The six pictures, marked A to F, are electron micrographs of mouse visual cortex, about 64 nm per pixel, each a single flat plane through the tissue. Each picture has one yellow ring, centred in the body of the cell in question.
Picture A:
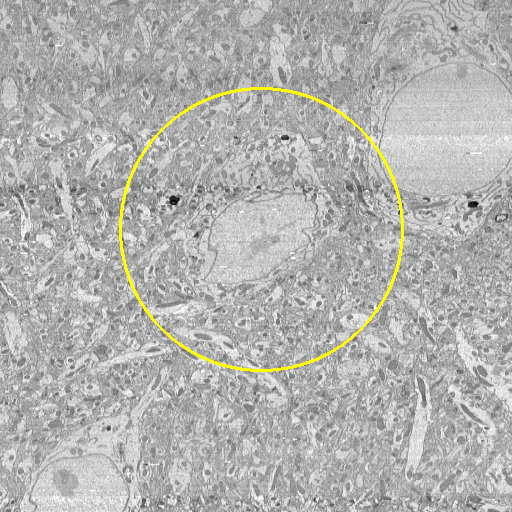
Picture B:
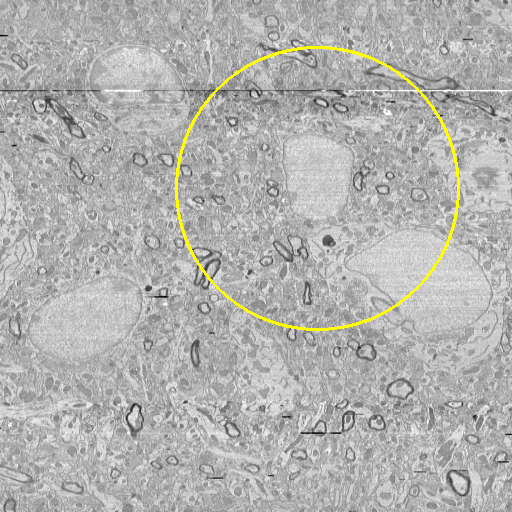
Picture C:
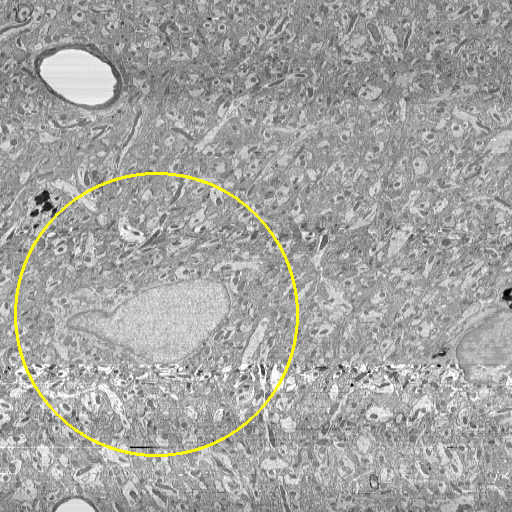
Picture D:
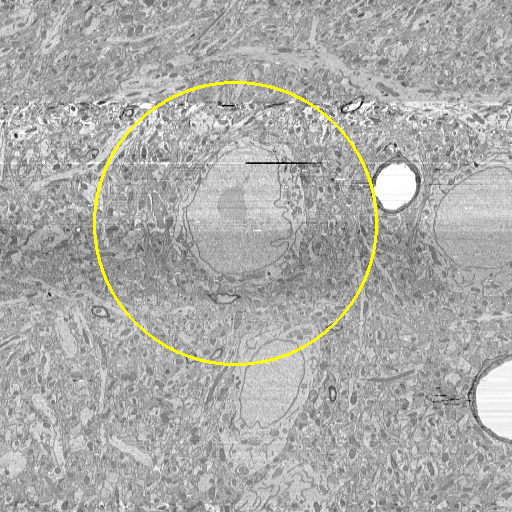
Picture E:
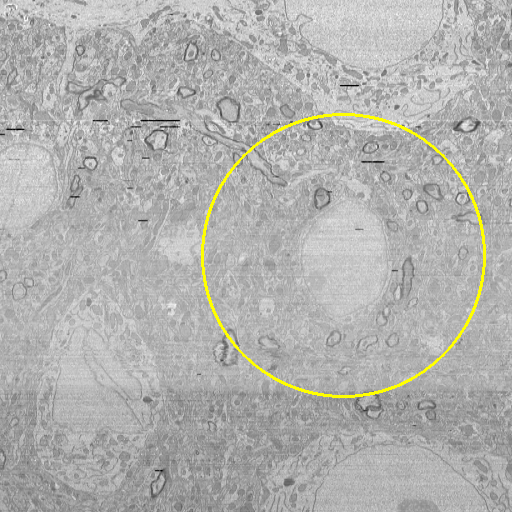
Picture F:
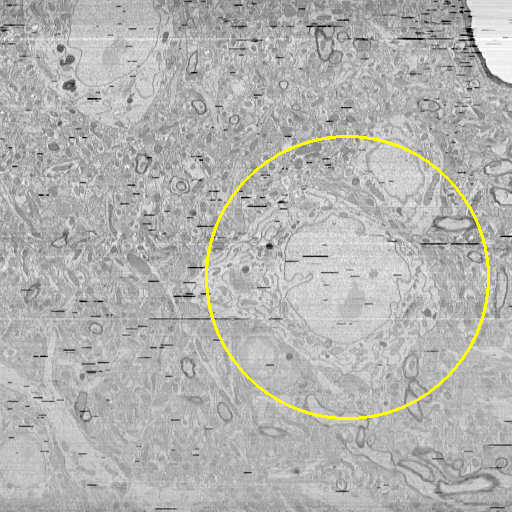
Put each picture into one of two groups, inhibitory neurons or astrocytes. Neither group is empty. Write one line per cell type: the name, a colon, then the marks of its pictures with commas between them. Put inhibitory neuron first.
inhibitory neuron: A, D, F
astrocyte: B, C, E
